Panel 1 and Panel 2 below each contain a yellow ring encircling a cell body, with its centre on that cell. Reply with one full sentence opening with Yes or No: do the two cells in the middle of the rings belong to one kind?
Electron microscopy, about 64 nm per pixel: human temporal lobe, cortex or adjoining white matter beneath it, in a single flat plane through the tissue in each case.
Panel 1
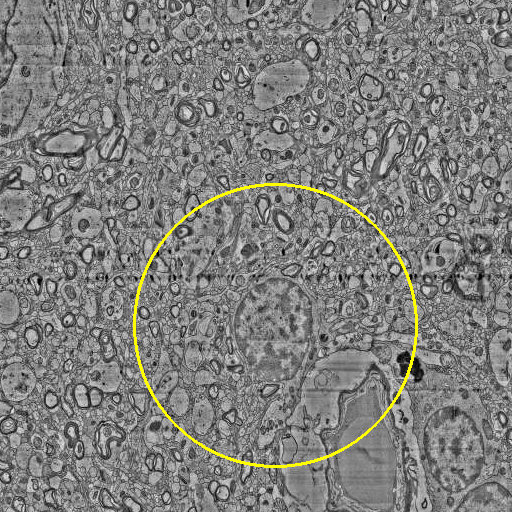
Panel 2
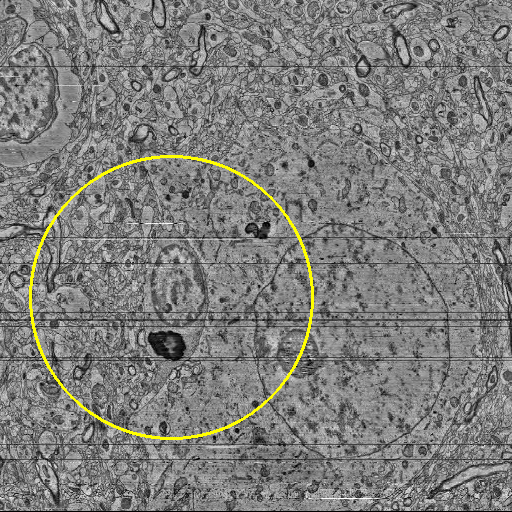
Yes, the cells at the middle of the Panel 1 ring and the Panel 2 ring are of one kind.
